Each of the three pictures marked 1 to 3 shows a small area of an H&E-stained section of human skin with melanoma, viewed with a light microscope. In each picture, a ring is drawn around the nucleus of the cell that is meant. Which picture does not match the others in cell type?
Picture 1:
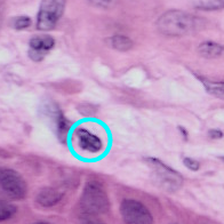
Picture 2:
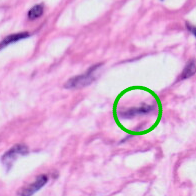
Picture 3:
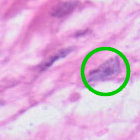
1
